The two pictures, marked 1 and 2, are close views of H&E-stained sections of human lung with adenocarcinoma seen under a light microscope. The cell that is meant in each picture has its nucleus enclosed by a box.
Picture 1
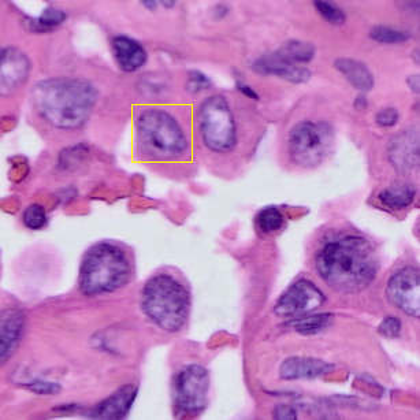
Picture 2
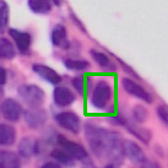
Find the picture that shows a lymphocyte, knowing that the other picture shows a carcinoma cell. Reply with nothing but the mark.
2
